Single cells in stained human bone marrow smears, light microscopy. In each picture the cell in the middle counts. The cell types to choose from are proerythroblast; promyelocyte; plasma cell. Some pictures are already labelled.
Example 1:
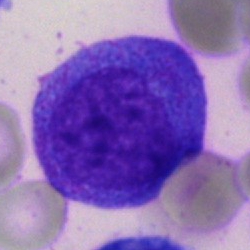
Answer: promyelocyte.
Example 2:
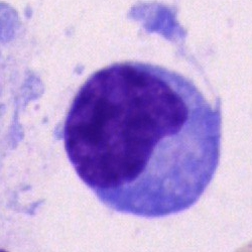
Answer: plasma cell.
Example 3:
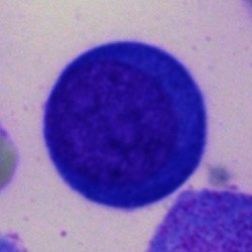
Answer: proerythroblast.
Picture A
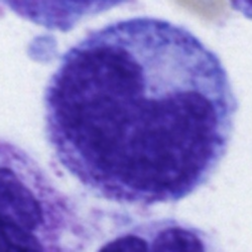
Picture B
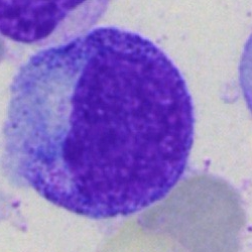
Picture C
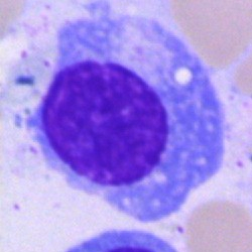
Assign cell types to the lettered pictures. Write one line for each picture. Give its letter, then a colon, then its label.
A: promyelocyte.
B: promyelocyte.
C: plasma cell.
